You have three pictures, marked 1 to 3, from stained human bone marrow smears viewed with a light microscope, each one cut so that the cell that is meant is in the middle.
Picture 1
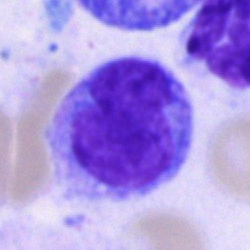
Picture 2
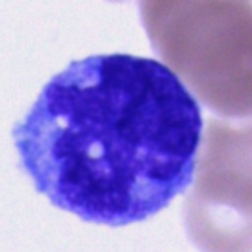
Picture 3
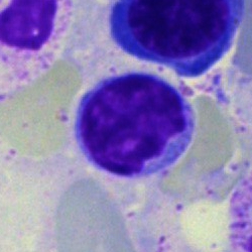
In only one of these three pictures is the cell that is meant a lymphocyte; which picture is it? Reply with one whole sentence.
The cell in picture 3 is the lymphocyte.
